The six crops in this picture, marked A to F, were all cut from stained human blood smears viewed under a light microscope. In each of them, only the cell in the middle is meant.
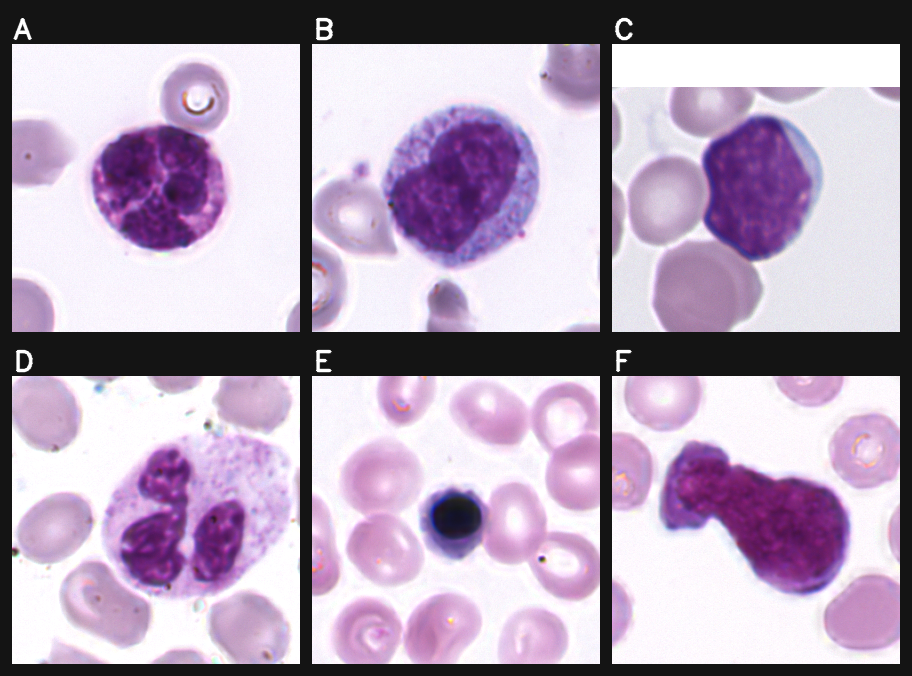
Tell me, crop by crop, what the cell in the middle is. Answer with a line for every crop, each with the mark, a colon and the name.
A: basophil
B: metamyelocyte
C: myeloblast
D: segmented neutrophil
E: normoblast
F: atypical promyelocyte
